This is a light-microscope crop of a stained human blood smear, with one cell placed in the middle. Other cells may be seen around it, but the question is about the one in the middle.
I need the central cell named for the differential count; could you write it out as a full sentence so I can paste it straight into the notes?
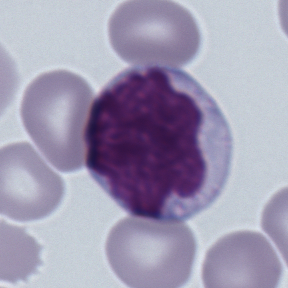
The cell that lies at the centre of the crop is a large granular lymphocyte.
